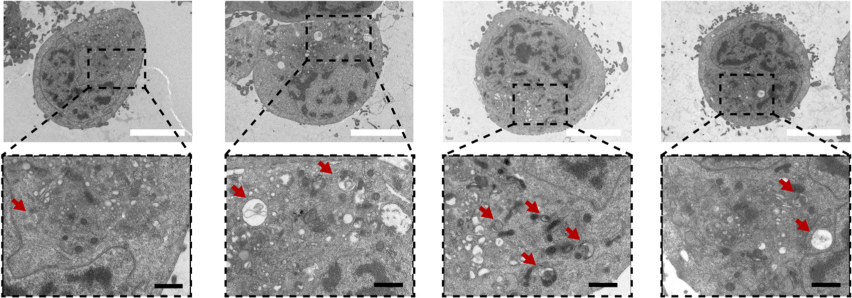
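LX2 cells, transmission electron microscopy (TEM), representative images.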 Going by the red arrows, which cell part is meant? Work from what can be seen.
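The red arrows point to rounded, membrane-bounded vacuoles in the cytoplasm, outside the nucleus. Some of the marked vacuoles hold dense or membranous contents. The arrowed structures are far smaller than the nucleus. That points to this answer: autophagosomes.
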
